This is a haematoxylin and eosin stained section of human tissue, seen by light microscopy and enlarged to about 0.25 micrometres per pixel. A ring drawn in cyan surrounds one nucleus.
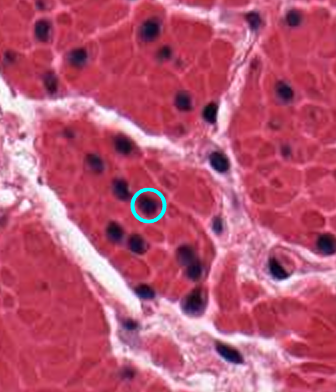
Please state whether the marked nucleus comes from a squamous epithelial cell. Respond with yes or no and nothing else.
no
